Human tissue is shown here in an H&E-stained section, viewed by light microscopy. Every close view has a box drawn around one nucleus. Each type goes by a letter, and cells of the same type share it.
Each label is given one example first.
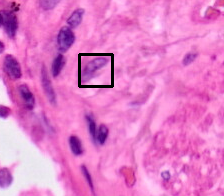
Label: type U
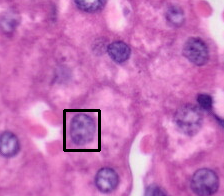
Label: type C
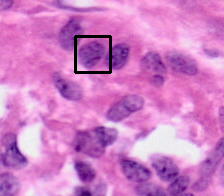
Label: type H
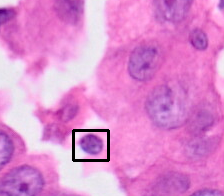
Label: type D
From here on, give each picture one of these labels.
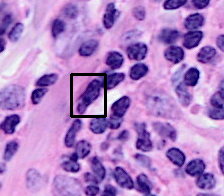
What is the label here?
type D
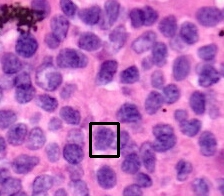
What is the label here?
type D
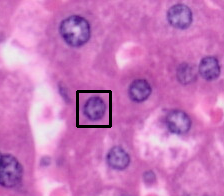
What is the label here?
type C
